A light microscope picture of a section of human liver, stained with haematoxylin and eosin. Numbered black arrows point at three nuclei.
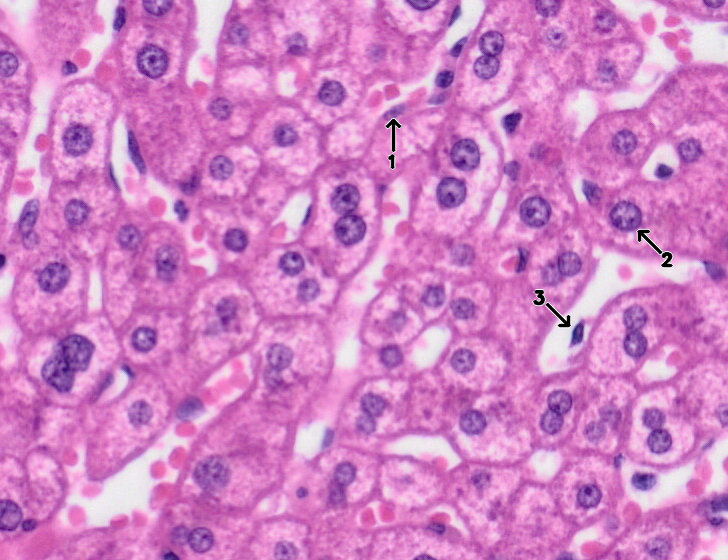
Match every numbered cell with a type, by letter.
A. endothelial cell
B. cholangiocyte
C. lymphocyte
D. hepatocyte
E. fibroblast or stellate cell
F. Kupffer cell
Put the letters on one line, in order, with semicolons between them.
F; D; C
